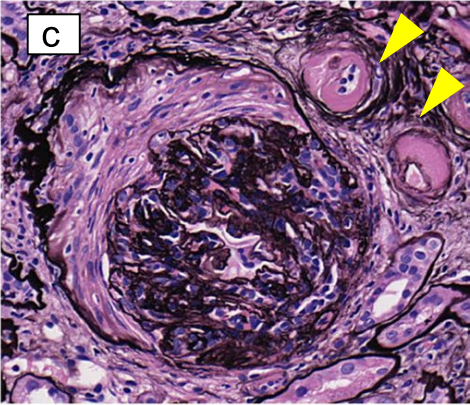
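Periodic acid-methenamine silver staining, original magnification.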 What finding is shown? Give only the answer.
Fibrous crescent-like lesion.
